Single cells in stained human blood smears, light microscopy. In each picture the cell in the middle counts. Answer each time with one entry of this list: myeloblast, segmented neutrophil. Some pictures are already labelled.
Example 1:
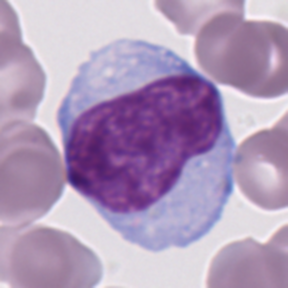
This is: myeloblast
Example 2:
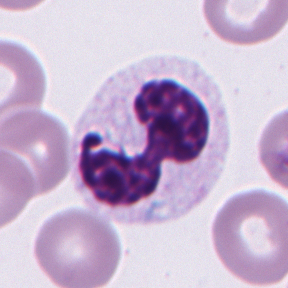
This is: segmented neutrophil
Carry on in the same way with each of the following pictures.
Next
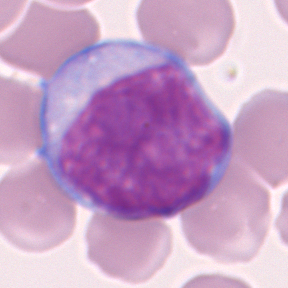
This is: myeloblast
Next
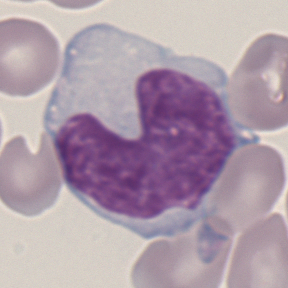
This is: myeloblast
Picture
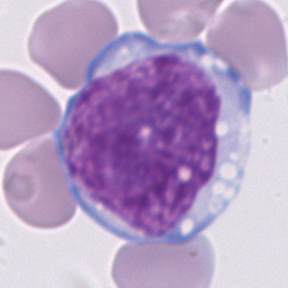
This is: myeloblast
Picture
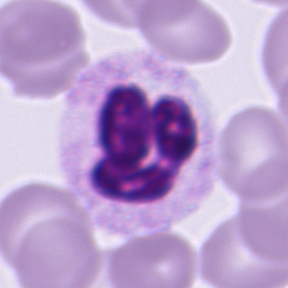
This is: segmented neutrophil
